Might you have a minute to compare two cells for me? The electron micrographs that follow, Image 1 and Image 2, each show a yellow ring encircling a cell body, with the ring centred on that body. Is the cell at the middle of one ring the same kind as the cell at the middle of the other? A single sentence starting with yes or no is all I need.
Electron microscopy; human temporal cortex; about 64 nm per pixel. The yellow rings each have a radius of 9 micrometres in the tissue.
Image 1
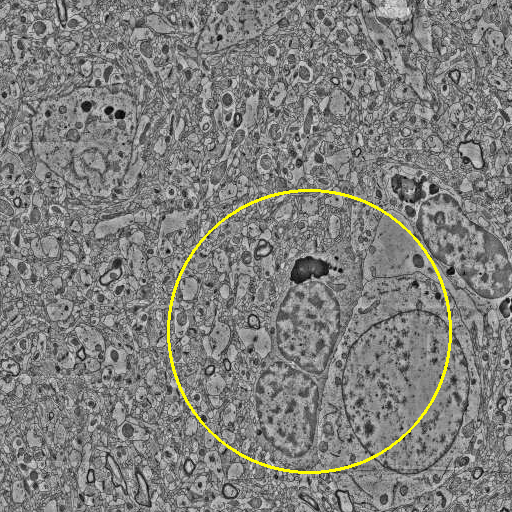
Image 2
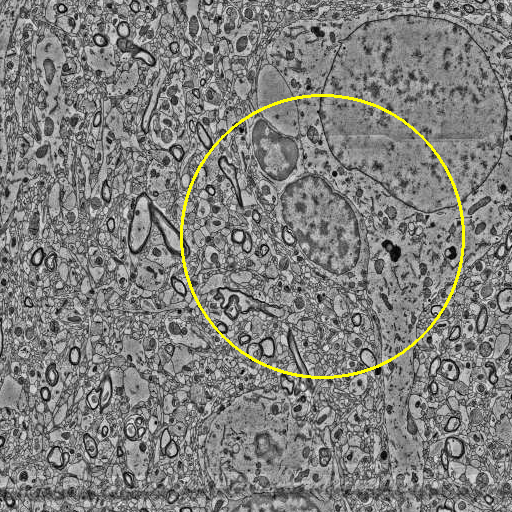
Yes, the cells in the middle of the two rings are of one shared kind.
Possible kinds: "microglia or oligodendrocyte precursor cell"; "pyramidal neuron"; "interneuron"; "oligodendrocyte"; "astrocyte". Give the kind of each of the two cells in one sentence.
Both the first and the second picture show an oligodendrocyte in the ring.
